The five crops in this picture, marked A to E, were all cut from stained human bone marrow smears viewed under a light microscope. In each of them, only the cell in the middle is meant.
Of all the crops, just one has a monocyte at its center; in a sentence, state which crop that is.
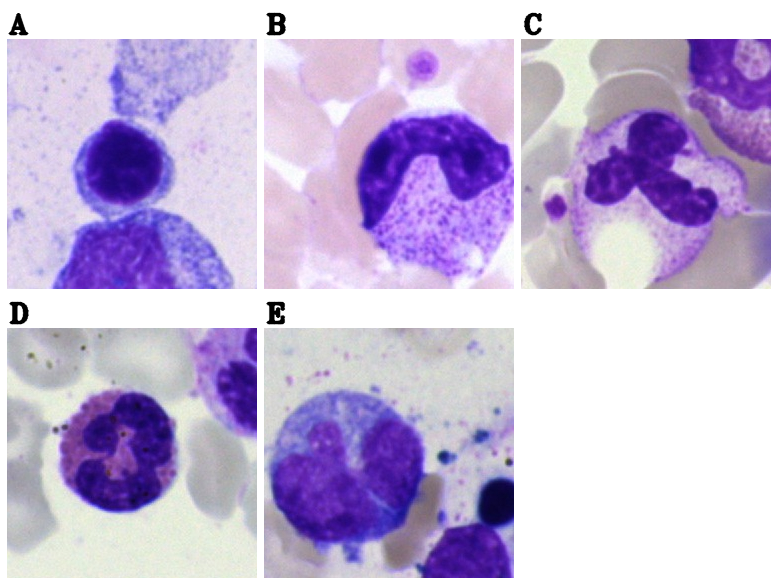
Crop E is identified as the crop showing a monocyte.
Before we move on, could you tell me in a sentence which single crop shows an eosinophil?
As for which crop shows an eosinophil, it is crop D.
